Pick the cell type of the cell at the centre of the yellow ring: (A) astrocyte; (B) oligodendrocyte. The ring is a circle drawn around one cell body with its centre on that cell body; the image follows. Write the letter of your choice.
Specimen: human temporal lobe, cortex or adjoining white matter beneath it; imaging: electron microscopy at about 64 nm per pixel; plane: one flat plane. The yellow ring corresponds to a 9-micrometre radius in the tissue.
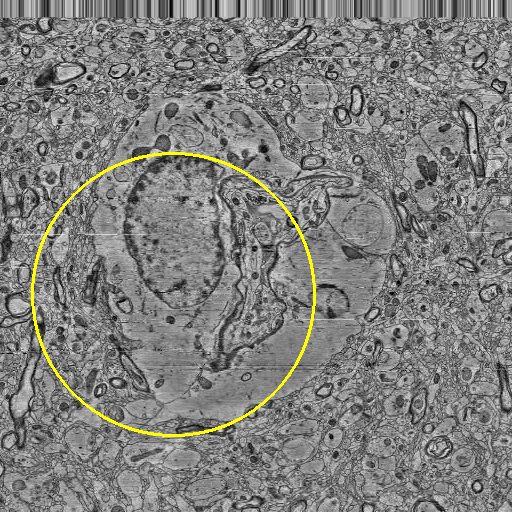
A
